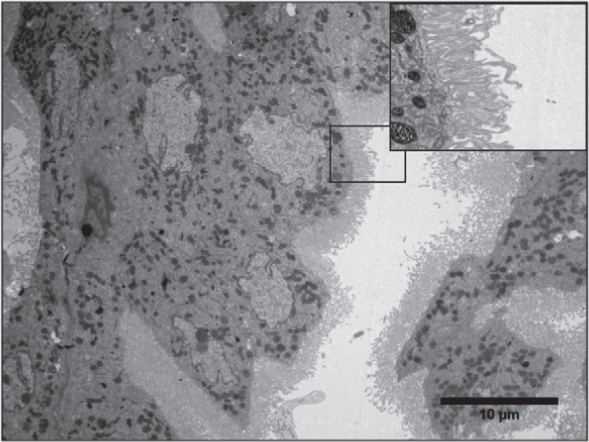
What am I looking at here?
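This is choroid plexus epithelium seen by transmission electron microscopy, with folds of epithelial cells facing a pale ventricular space. The insert enlarges this border, showing long slender microvilli lined up in parallel next to a few mitochondria in the apical cytoplasm.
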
